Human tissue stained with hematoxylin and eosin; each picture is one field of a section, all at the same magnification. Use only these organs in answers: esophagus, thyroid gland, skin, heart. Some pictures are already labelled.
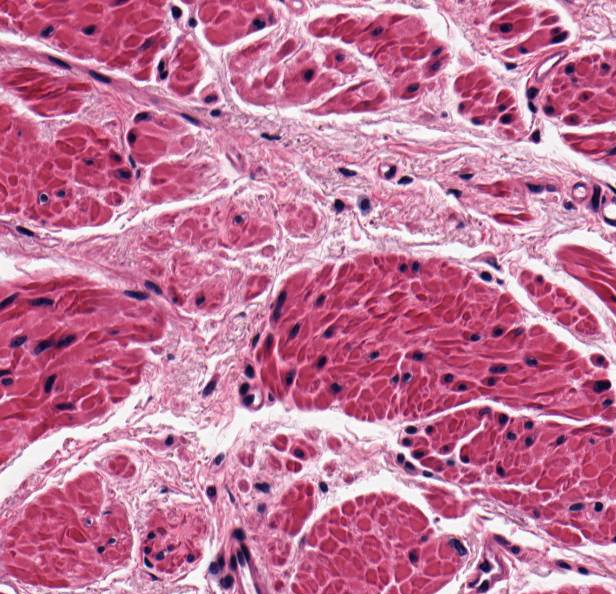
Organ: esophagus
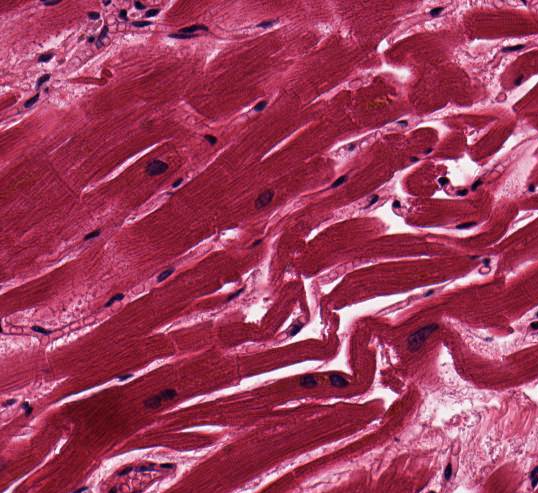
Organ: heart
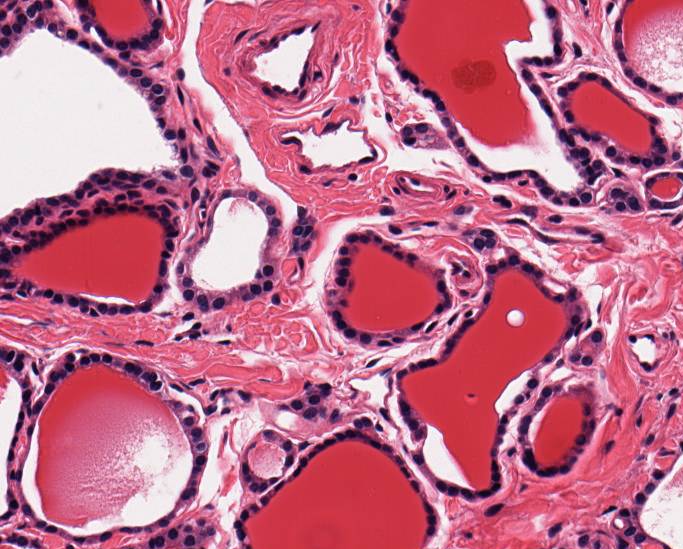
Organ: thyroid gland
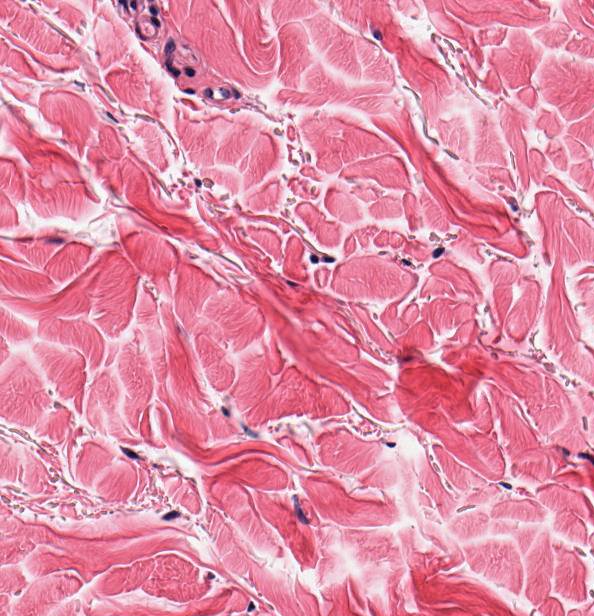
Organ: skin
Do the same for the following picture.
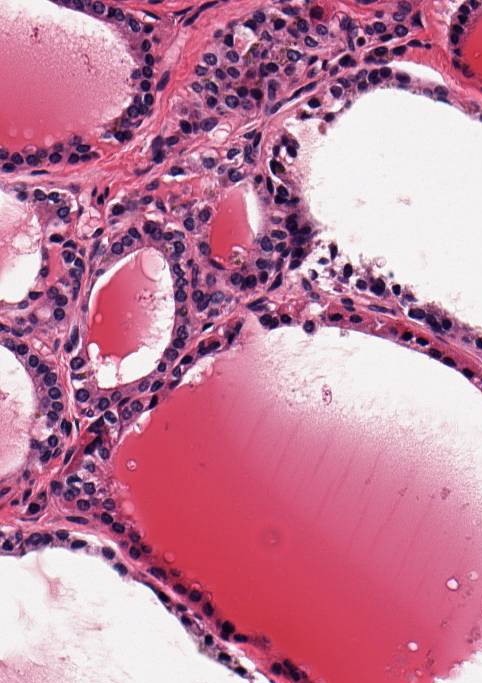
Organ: thyroid gland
